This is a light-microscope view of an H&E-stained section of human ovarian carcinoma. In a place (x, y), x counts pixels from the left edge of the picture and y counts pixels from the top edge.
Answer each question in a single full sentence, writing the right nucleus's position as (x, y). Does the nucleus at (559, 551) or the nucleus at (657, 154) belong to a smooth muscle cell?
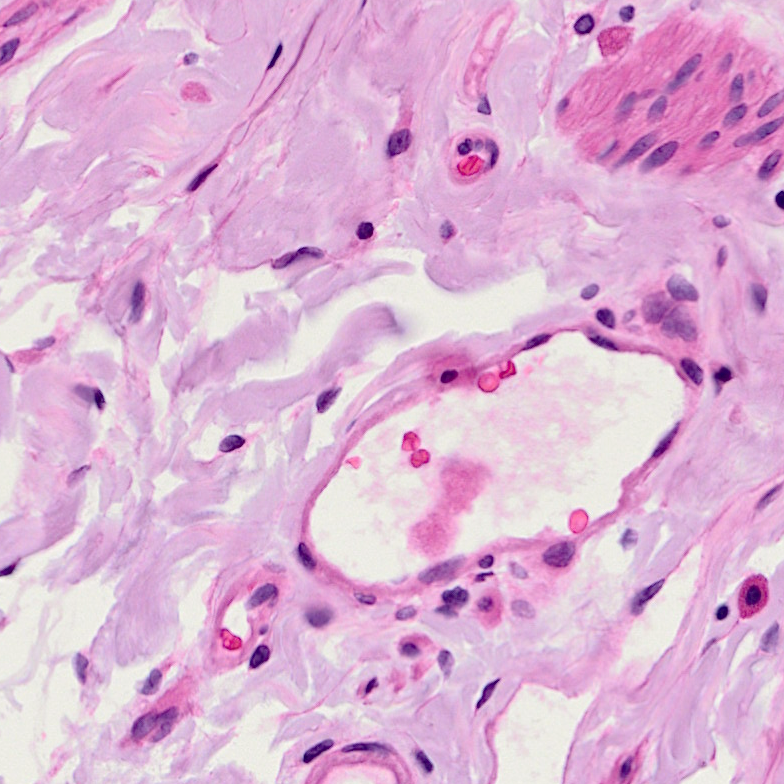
Of these two nuclei, only the one at (657, 154) belongs to a smooth muscle cell.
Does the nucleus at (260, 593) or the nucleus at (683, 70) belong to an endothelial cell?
Belonging to an endothelial cell is the nucleus at (260, 593).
